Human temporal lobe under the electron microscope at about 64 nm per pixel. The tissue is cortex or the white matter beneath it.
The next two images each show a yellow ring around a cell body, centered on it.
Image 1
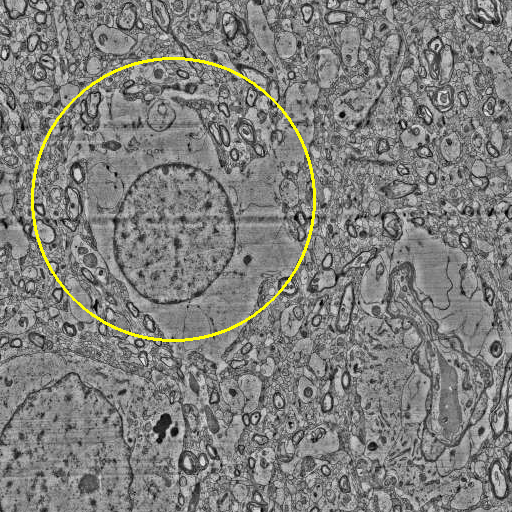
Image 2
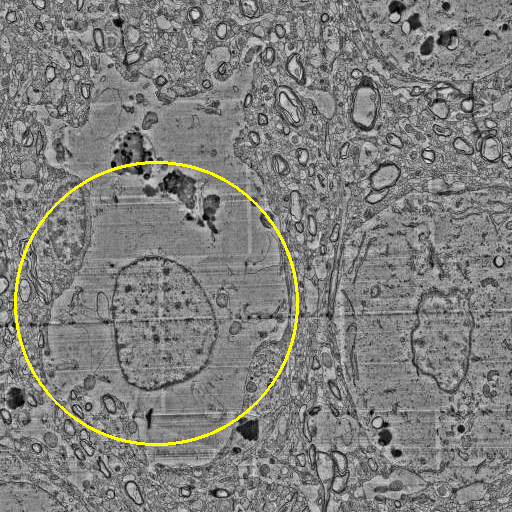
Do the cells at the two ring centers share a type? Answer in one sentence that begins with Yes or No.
Yes, across the two images the cells at the ring centers share one type.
